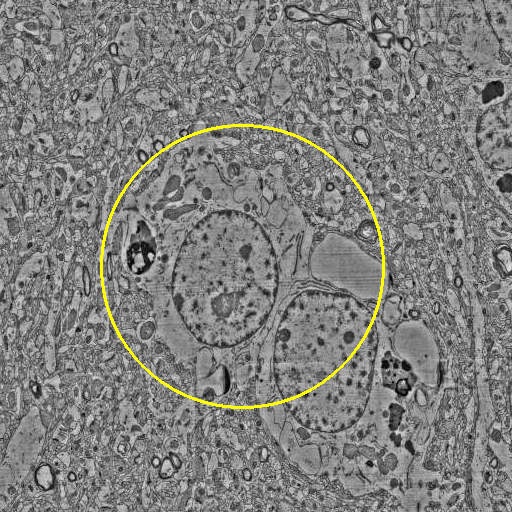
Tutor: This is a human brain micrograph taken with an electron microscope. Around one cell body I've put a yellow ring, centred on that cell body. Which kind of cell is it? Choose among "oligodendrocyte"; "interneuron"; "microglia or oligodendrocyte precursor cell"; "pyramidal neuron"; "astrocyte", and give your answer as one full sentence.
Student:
Going by your list, the cell centred in the yellow ring is an astrocyte.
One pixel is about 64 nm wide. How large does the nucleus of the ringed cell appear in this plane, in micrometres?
The nucleus appears roughly 9 by 7 micrometres in this plane.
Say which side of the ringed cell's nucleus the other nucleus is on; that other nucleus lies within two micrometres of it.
The other nucleus is found to the lower right of it.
